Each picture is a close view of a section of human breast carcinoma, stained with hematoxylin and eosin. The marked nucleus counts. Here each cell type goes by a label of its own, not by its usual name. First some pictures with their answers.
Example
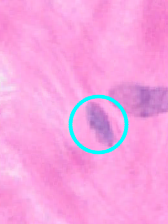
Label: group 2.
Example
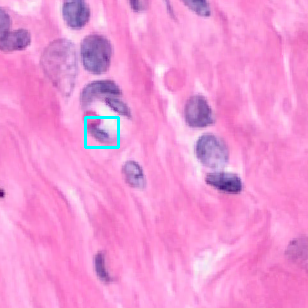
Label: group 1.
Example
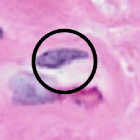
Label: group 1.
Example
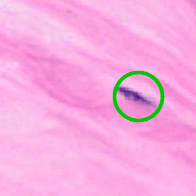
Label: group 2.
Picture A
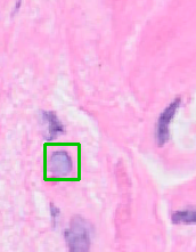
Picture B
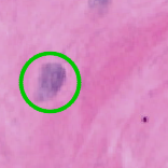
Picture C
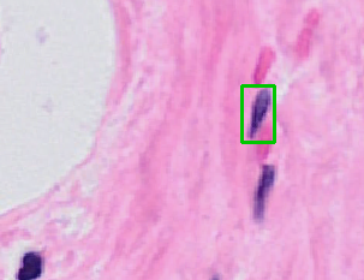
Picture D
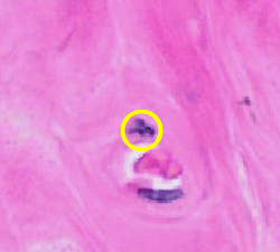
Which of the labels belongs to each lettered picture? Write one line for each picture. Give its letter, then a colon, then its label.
A: group 1.
B: group 2.
C: group 1.
D: group 1.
